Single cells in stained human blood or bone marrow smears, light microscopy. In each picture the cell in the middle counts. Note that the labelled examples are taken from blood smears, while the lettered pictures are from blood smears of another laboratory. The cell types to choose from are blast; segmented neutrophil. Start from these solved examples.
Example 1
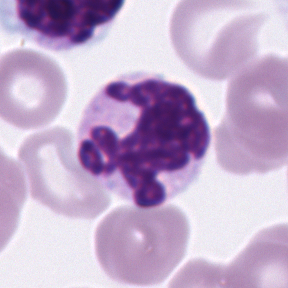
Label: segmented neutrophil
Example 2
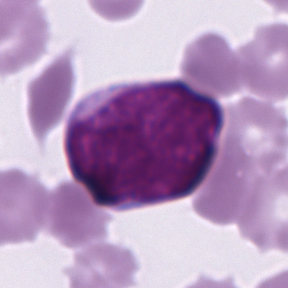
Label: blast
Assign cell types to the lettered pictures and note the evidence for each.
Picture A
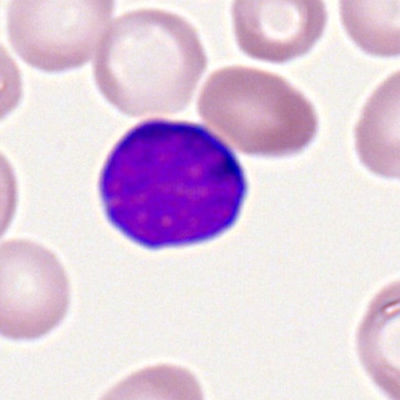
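Label: blast. Cytoplasm shows at most as a very thin rim around the nucleus.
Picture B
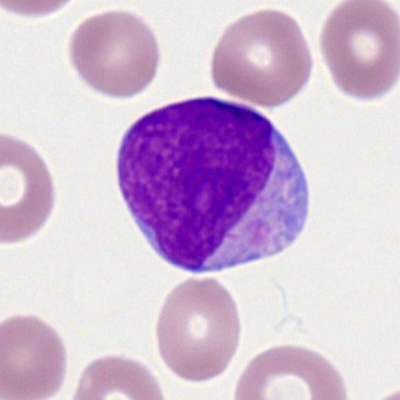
Label: blast. The nucleus is a single unlobed mass.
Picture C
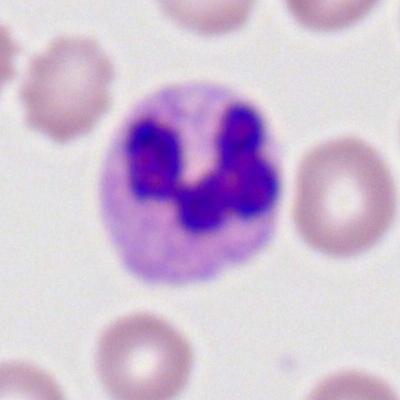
Label: segmented neutrophil. The nucleus is divided into separate lobes.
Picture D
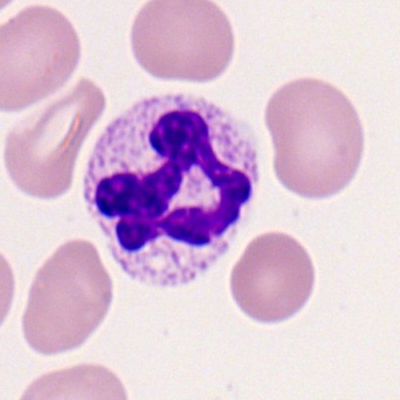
Label: segmented neutrophil. The cytoplasm is abundant and pale pinkish-lilac.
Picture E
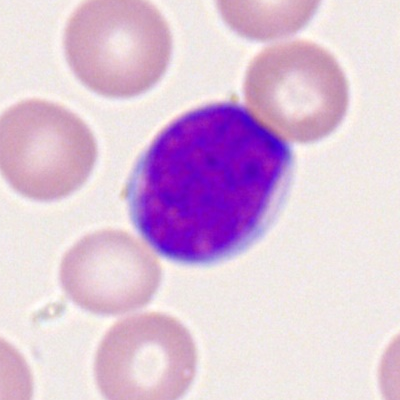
Label: blast. The cytoplasm forms only a very thin rim around the nucleus.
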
